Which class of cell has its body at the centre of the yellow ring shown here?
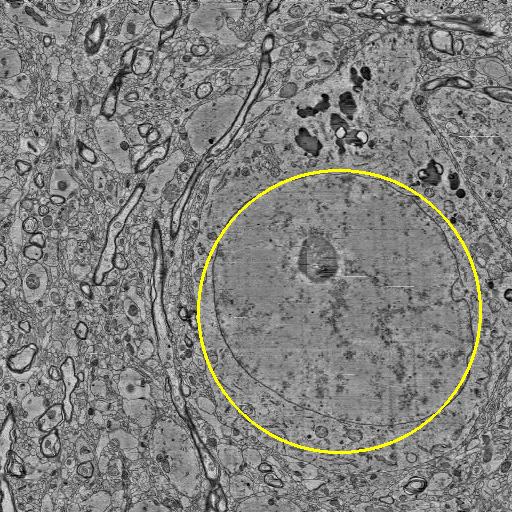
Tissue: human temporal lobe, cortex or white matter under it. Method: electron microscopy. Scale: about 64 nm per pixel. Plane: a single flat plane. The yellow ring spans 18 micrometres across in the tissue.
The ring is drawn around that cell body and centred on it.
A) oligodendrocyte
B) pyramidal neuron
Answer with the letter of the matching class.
B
